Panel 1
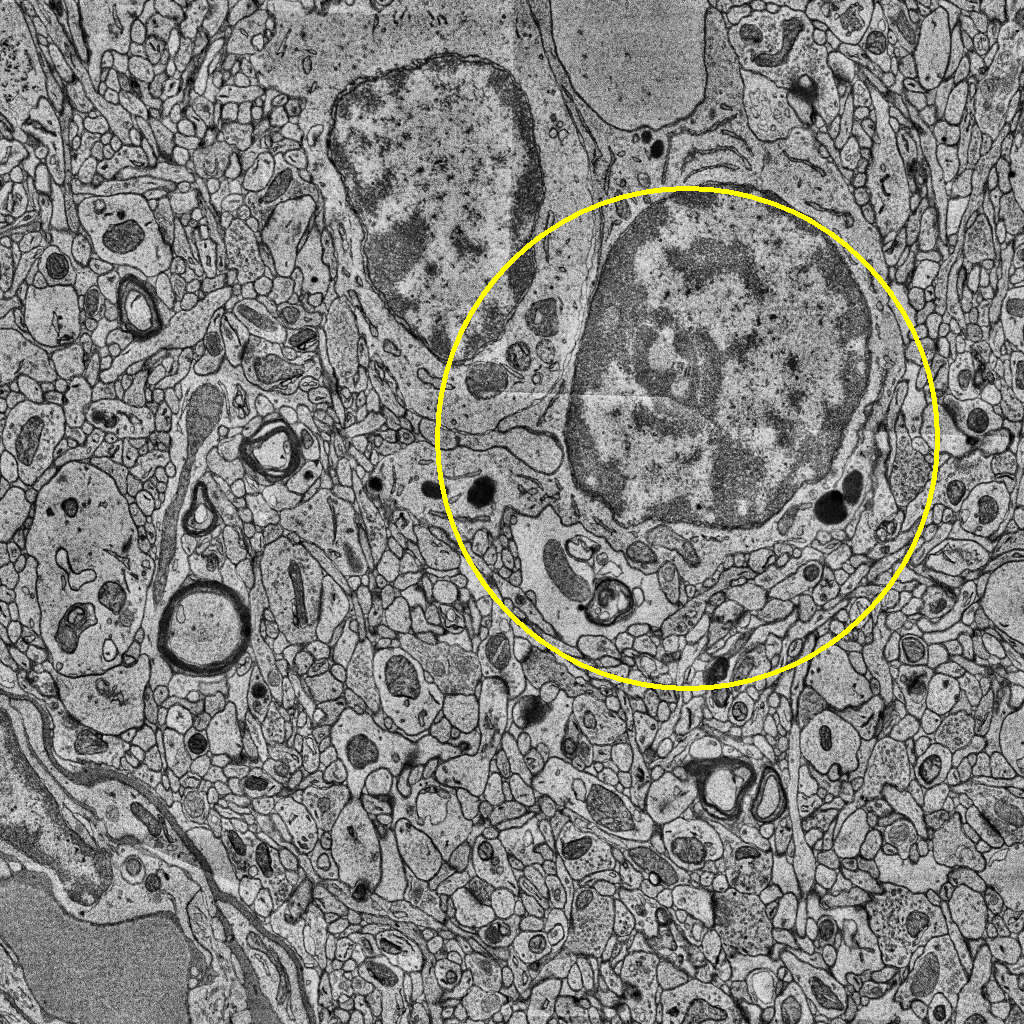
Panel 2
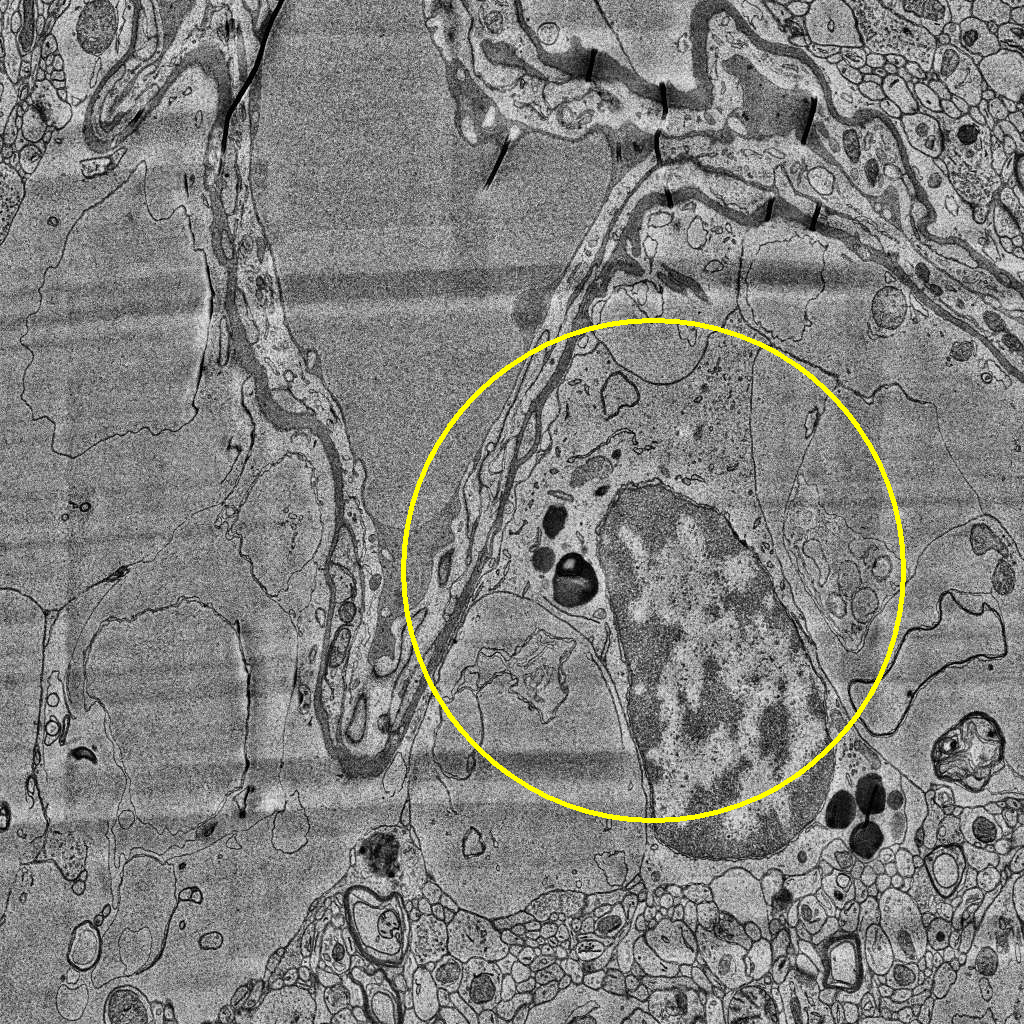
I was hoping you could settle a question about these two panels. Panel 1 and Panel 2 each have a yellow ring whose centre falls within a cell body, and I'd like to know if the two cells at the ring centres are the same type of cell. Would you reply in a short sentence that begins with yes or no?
Yes, both are the same type of cell.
